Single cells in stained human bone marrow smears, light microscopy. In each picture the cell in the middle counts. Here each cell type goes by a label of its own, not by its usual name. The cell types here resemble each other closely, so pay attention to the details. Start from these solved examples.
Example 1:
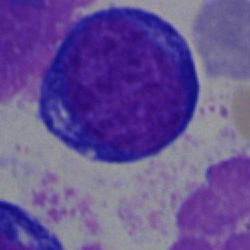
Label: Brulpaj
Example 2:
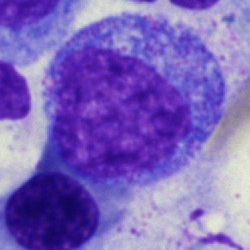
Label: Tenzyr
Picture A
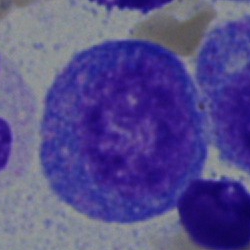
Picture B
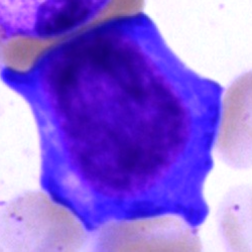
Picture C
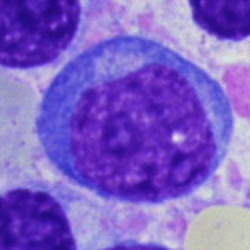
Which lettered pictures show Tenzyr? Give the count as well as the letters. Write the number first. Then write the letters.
1, namely A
